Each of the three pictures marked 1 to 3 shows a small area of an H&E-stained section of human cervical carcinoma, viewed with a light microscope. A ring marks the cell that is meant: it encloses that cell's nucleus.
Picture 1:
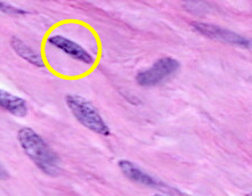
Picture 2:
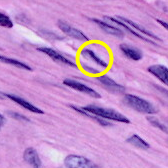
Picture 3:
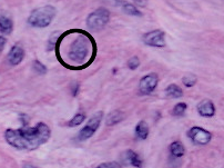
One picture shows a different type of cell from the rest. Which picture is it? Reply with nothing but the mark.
3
